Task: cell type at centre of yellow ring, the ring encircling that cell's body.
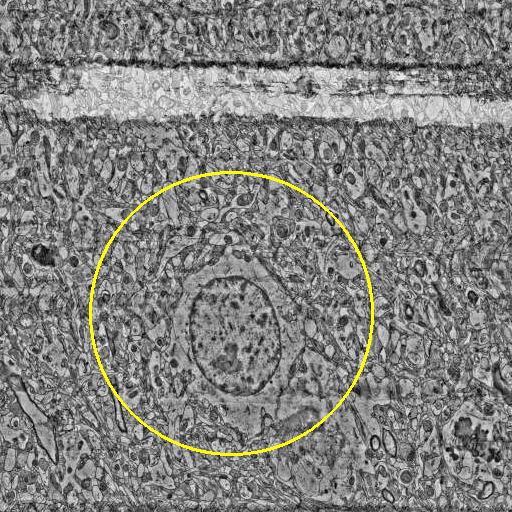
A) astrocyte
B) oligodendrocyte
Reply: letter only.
A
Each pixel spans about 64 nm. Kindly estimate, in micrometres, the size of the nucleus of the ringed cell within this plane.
The nucleus has a long axis of about 8 micrometres and a short axis of about 6 micrometres in this plane.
